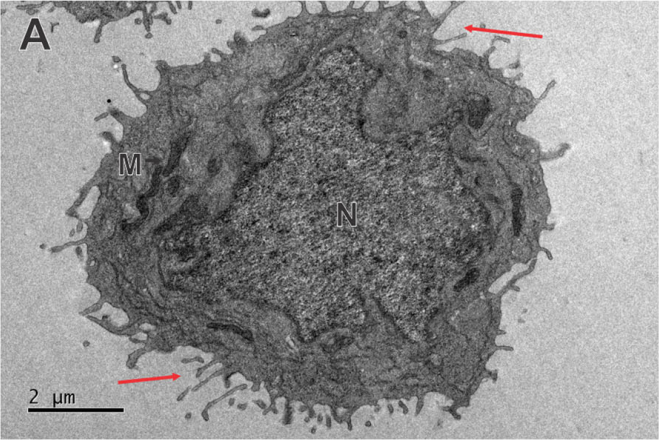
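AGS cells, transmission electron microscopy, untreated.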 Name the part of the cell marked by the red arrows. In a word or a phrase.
cytoplasmic processes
